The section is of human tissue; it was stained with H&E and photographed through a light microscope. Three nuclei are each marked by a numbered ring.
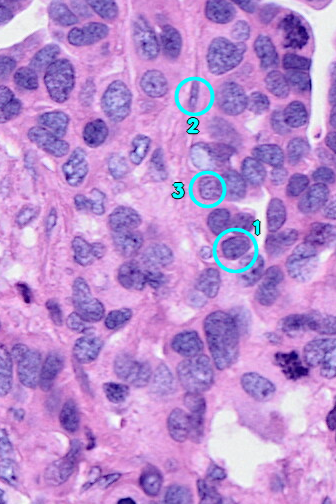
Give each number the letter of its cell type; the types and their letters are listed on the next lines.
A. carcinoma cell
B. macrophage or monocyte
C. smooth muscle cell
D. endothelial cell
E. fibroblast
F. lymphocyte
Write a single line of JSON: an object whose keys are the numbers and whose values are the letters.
{"1": "A", "2": "E", "3": "A"}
